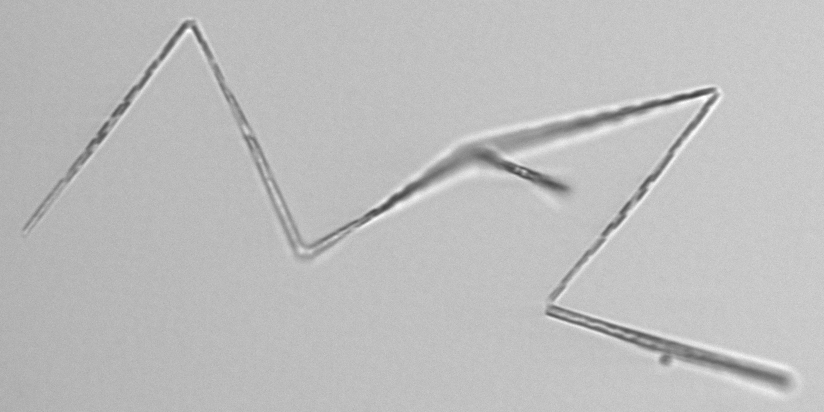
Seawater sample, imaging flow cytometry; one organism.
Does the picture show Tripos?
No, it shows Thalassionema.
